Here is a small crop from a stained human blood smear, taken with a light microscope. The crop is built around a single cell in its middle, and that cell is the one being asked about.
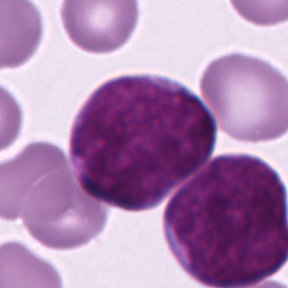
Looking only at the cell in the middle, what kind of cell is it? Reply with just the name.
myeloblast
